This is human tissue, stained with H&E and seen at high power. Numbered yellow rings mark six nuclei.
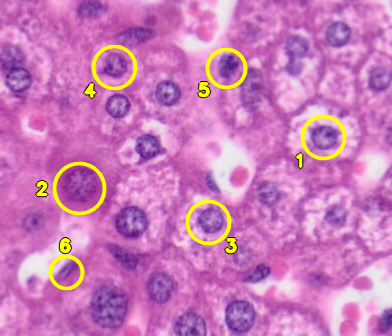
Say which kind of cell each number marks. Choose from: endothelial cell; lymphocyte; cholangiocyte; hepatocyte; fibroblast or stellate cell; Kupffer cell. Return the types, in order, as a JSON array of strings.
["hepatocyte", "hepatocyte", "hepatocyte", "hepatocyte", "fibroblast or stellate cell", "Kupffer cell"]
